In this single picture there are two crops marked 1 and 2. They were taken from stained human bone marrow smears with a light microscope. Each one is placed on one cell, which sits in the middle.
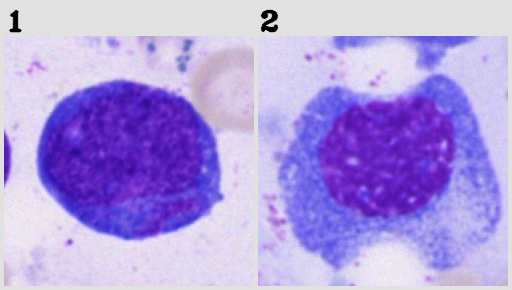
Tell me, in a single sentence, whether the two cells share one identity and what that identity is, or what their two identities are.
No, crop 1 presents a promyelocyte, whereas crop 2 presents a plasma cell.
